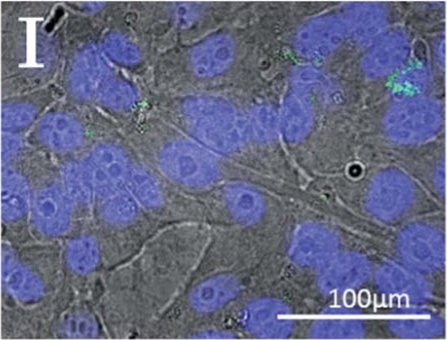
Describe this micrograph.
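The cells are packed closely together, each with a round to oval blue nucleus, many showing darker spots that are nucleoli. Grey cell borders and thin strands run between the cells.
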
